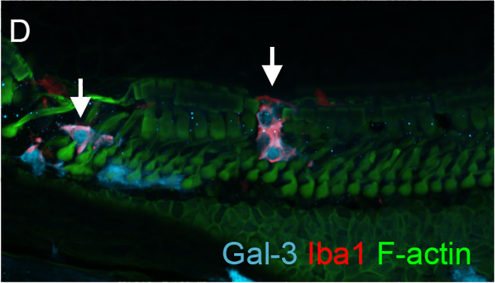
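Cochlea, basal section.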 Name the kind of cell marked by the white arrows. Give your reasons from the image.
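The arrowed cells are irregular with short processes. They lie among rows of regularly arranged green-outlined epithelial cells. They are stained red and cyan, unlike the surrounding cells.
Answer: macrophages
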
